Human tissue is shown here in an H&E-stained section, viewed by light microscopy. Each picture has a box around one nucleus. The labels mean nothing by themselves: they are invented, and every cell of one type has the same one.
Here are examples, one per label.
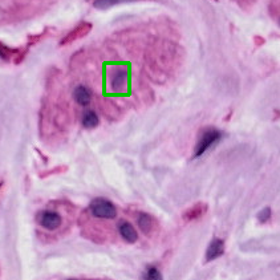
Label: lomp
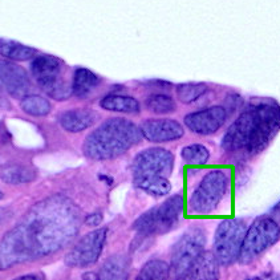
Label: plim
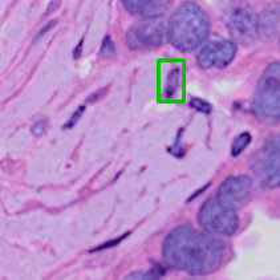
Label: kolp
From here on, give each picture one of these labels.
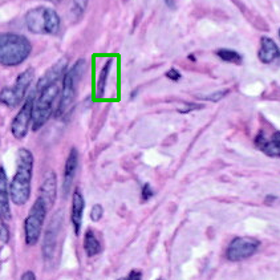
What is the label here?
kolp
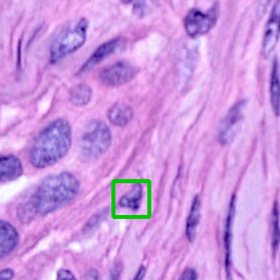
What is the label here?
kolp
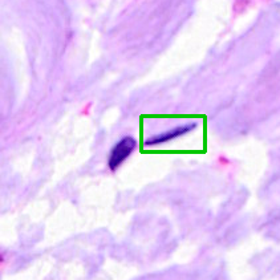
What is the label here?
kolp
